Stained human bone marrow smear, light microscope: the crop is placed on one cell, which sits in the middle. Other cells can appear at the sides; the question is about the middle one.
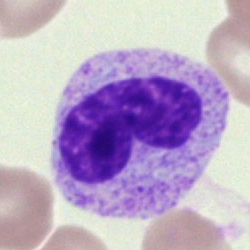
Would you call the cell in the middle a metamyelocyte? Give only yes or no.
yes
